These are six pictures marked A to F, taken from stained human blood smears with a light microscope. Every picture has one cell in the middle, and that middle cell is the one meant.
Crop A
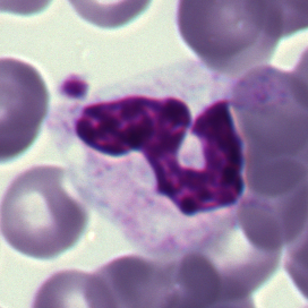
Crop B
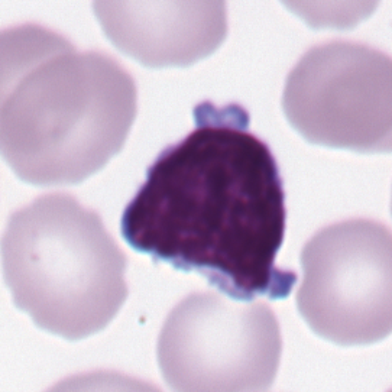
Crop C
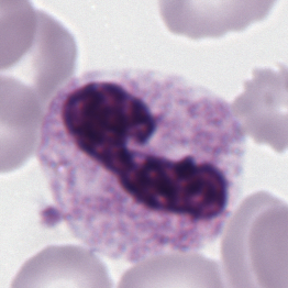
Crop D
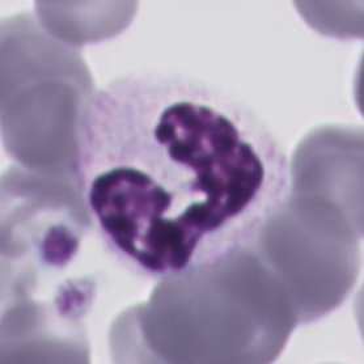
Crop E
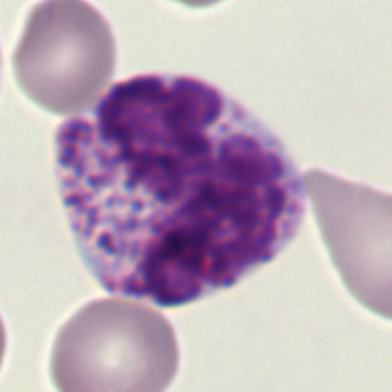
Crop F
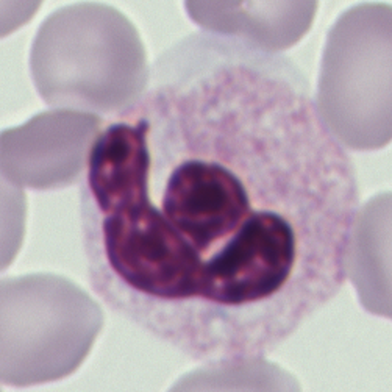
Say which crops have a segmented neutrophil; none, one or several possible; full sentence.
The centred cells of crops A, C, D and F are segmented neutrophils.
